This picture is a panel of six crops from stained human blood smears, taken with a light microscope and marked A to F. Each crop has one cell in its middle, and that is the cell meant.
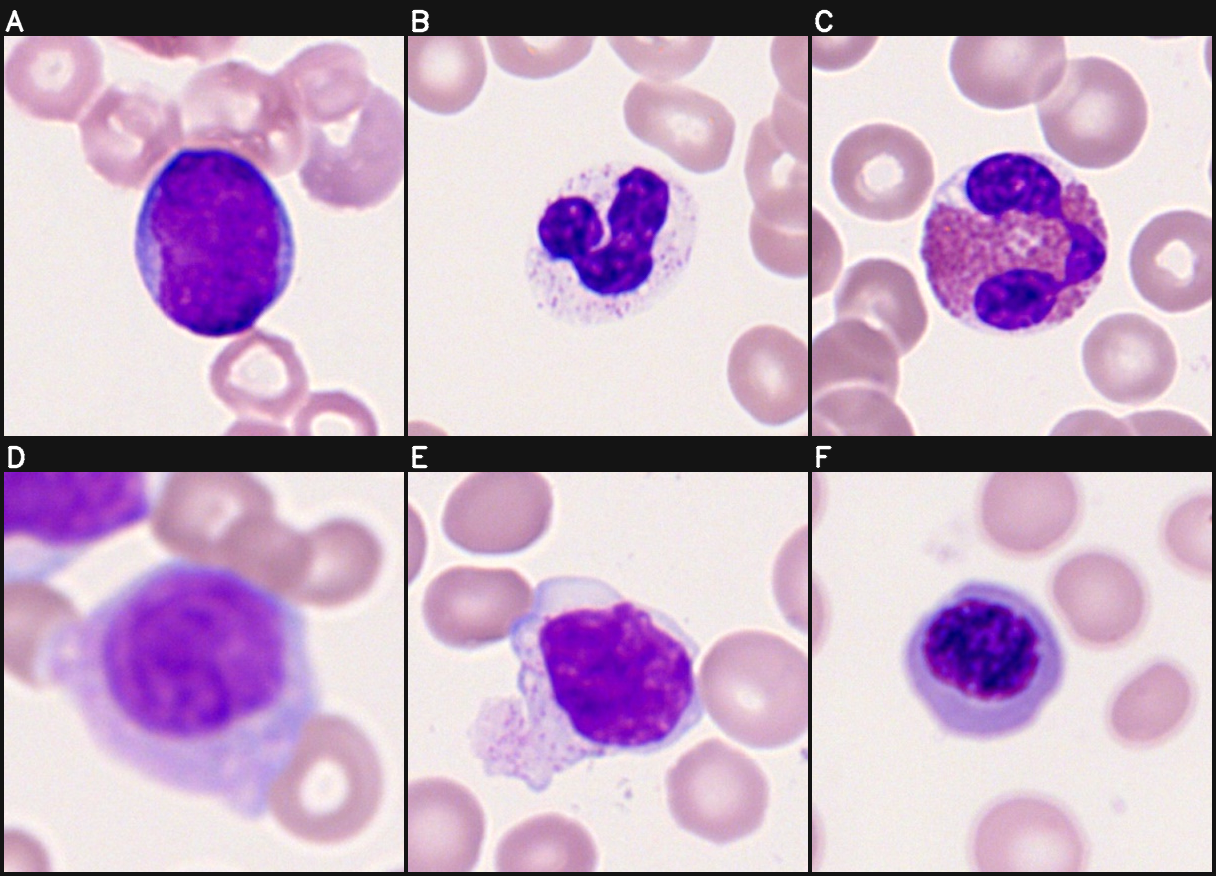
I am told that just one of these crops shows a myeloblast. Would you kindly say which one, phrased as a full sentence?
The correct choice is crop A, the one showing a myeloblast.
